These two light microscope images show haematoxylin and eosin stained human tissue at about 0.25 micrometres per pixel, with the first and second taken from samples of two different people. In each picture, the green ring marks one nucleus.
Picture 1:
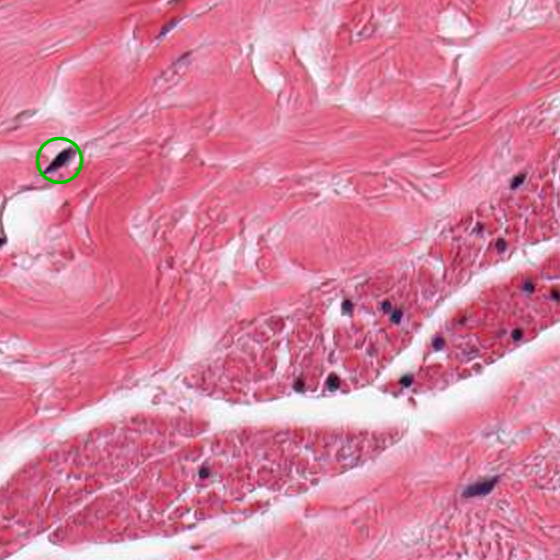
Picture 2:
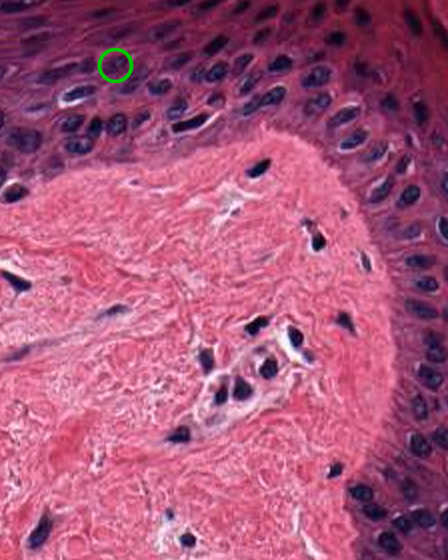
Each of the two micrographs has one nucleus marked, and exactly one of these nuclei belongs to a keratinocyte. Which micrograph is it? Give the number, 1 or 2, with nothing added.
2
